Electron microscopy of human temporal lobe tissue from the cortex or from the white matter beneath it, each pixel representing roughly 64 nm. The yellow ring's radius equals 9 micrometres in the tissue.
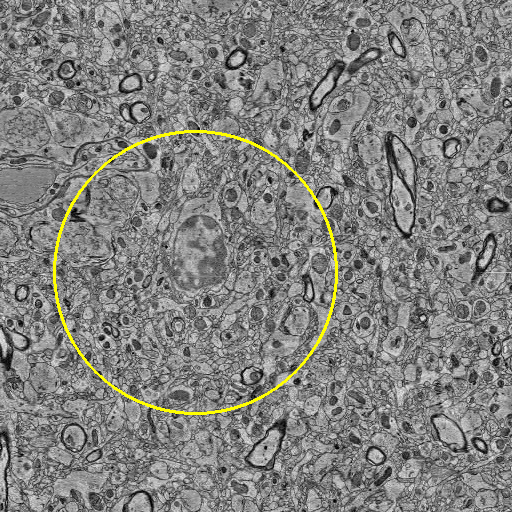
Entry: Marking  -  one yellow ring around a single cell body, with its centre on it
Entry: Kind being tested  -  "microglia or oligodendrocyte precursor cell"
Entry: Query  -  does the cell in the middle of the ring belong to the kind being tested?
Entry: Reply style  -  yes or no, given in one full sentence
Yes, the centred cell within the ring in the picture does belong to the tested kind.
